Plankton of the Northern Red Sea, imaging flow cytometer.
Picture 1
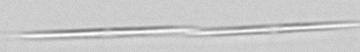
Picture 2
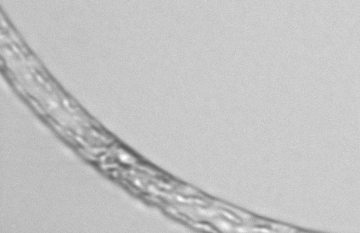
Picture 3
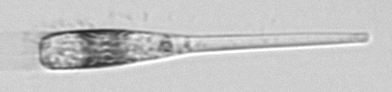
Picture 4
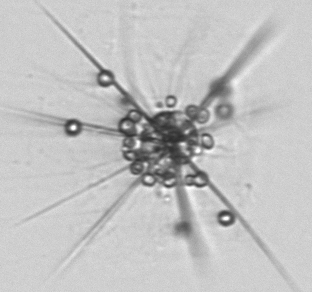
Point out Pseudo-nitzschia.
That is picture 1.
